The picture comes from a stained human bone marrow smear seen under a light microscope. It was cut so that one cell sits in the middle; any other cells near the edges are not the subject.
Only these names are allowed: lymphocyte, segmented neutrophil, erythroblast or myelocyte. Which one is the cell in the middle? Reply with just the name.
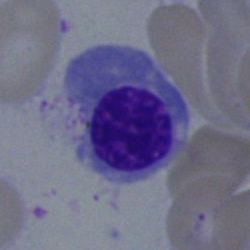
erythroblast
